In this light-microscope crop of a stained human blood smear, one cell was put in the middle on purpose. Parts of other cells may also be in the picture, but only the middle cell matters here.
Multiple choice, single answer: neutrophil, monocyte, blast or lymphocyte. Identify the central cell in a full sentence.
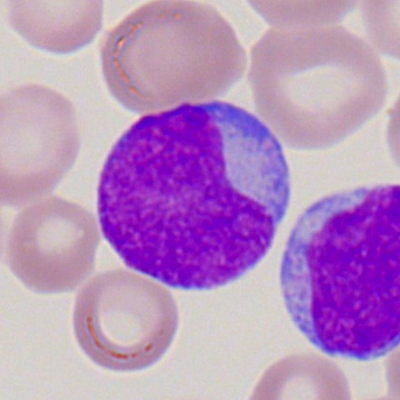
In the crop, the cell of interest at the centre is a blast.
